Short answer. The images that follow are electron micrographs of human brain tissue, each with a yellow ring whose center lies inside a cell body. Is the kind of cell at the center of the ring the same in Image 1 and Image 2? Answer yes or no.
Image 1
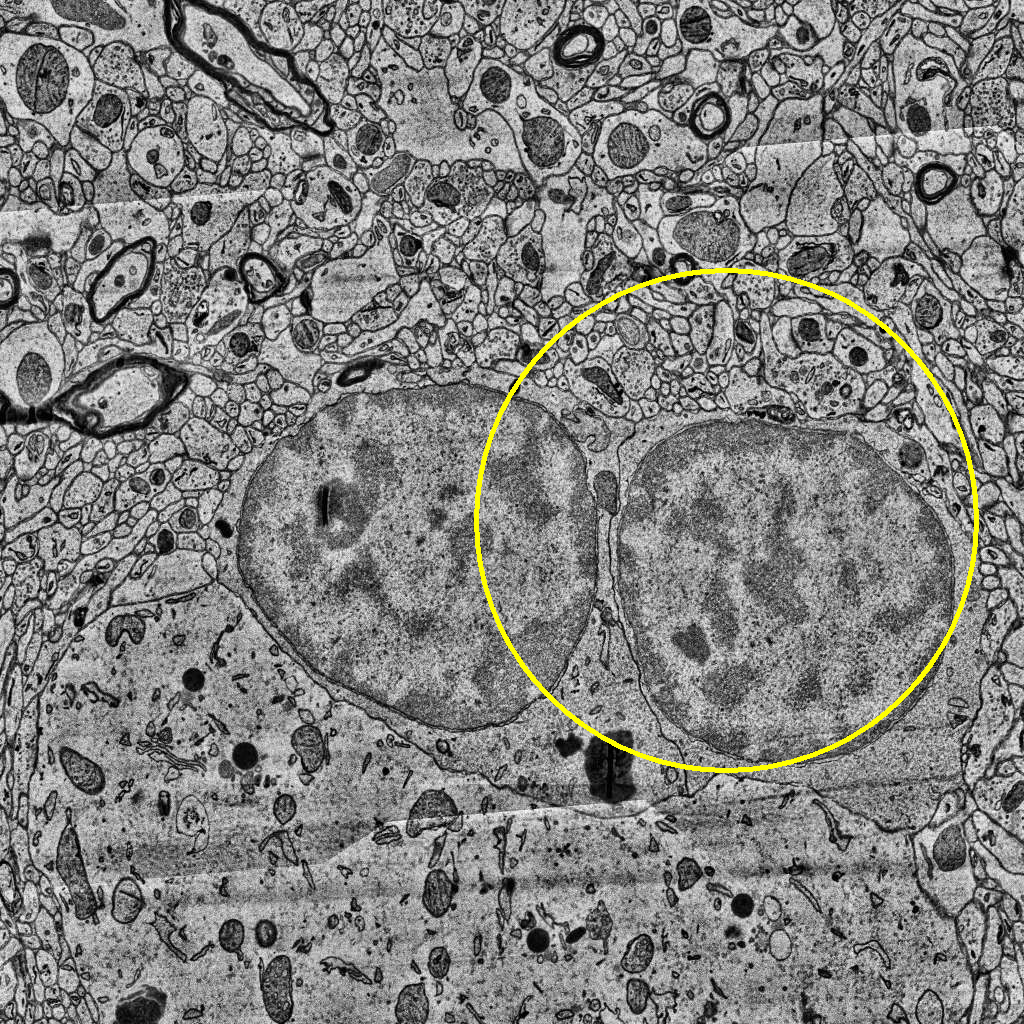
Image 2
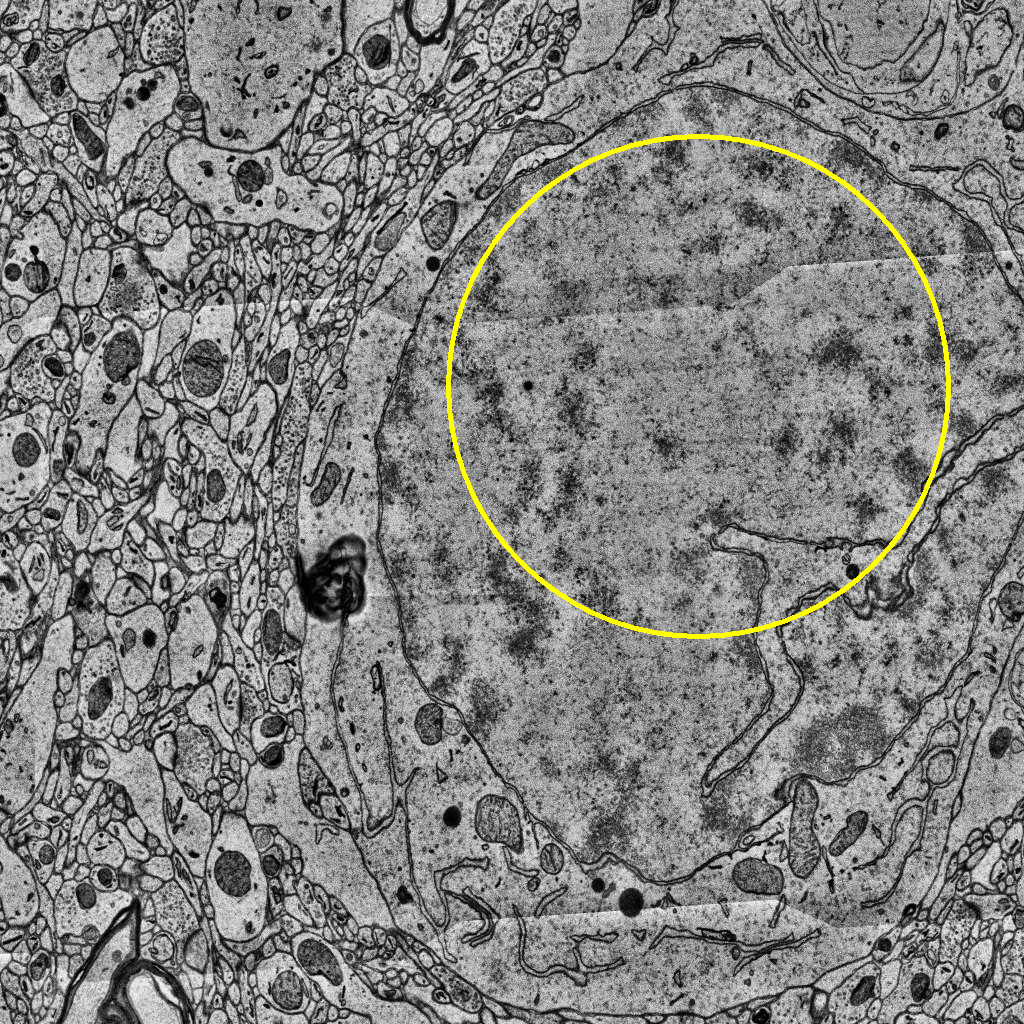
no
